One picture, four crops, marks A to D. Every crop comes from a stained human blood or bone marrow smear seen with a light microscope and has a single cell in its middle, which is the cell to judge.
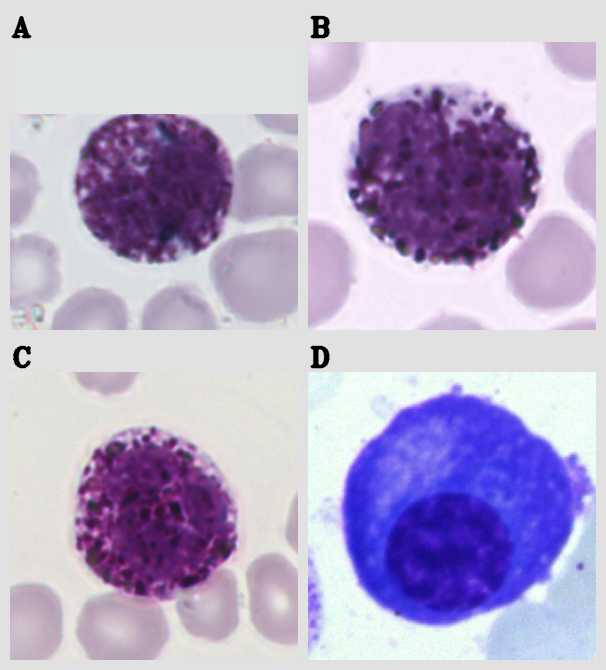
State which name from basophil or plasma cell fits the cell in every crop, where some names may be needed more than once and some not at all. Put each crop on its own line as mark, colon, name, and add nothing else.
A: basophil
B: basophil
C: basophil
D: plasma cell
